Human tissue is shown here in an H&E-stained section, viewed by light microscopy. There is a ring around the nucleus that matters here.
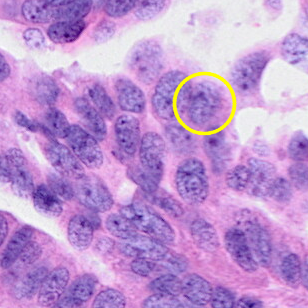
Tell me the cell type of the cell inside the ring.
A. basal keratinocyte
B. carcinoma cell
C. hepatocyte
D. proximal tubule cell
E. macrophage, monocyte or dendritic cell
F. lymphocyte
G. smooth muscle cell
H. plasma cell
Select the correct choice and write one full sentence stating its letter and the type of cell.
Answer with option B; the cell inside the ring is a carcinoma cell.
